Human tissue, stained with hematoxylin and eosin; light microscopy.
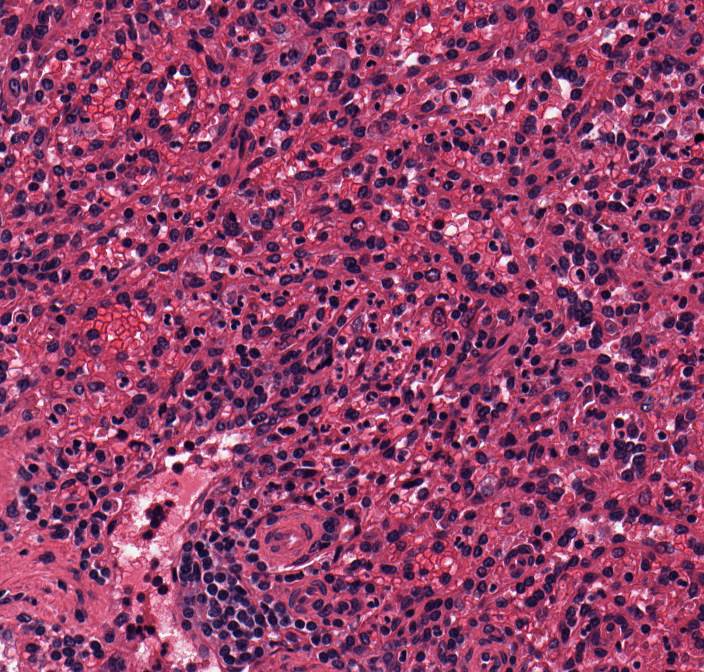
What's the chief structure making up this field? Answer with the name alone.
red pulp of the spleen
